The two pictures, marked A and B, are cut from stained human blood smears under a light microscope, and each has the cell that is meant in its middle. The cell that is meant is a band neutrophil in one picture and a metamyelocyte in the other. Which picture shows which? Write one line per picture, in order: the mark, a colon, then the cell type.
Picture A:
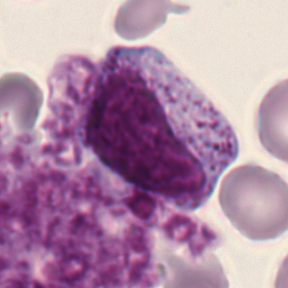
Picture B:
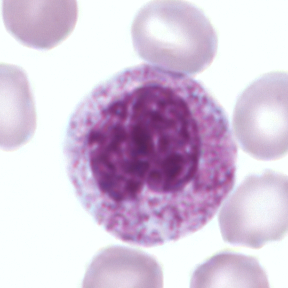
A: metamyelocyte
B: band neutrophil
